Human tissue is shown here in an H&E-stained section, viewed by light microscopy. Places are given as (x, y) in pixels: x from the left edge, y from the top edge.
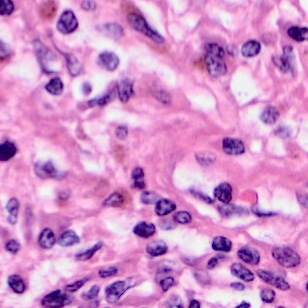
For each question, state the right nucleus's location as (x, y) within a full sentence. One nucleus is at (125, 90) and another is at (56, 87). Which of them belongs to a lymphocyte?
Of the two nuclei, the one at (56, 87) belongs to a lymphocyte.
